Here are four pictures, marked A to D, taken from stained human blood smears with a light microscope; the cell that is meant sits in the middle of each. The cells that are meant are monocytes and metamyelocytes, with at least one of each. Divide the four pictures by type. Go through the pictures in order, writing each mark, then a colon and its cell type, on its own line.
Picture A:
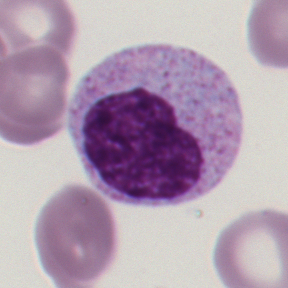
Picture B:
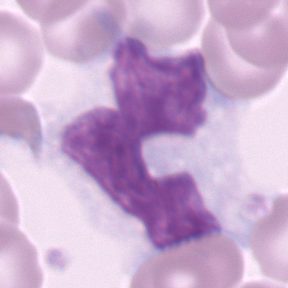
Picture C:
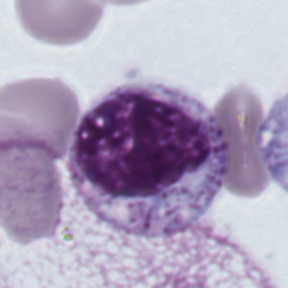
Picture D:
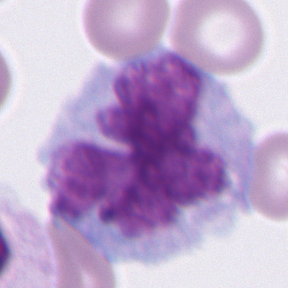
A: metamyelocyte
B: monocyte
C: metamyelocyte
D: monocyte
